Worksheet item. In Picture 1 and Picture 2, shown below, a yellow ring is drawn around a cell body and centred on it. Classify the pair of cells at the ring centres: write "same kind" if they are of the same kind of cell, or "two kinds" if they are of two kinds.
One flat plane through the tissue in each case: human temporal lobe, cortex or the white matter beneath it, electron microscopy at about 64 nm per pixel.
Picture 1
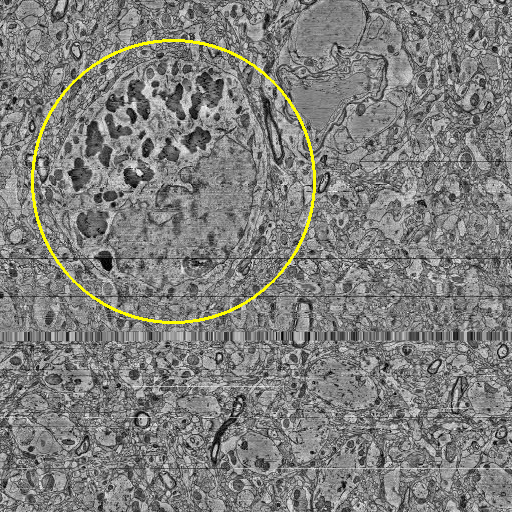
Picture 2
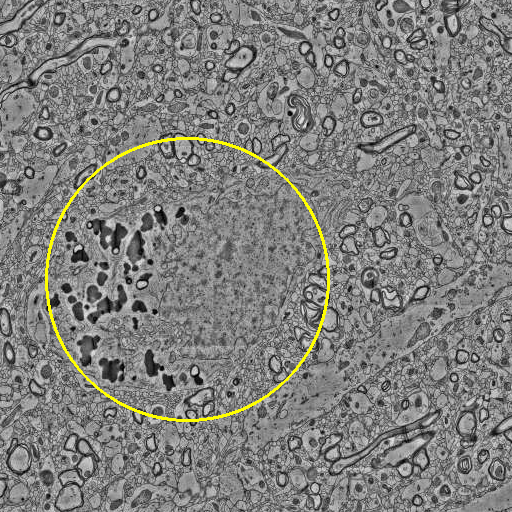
same kind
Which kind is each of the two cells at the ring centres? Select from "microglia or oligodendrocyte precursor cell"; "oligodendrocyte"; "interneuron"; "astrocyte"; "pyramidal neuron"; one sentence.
Each of the two rings surrounds an interneuron.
